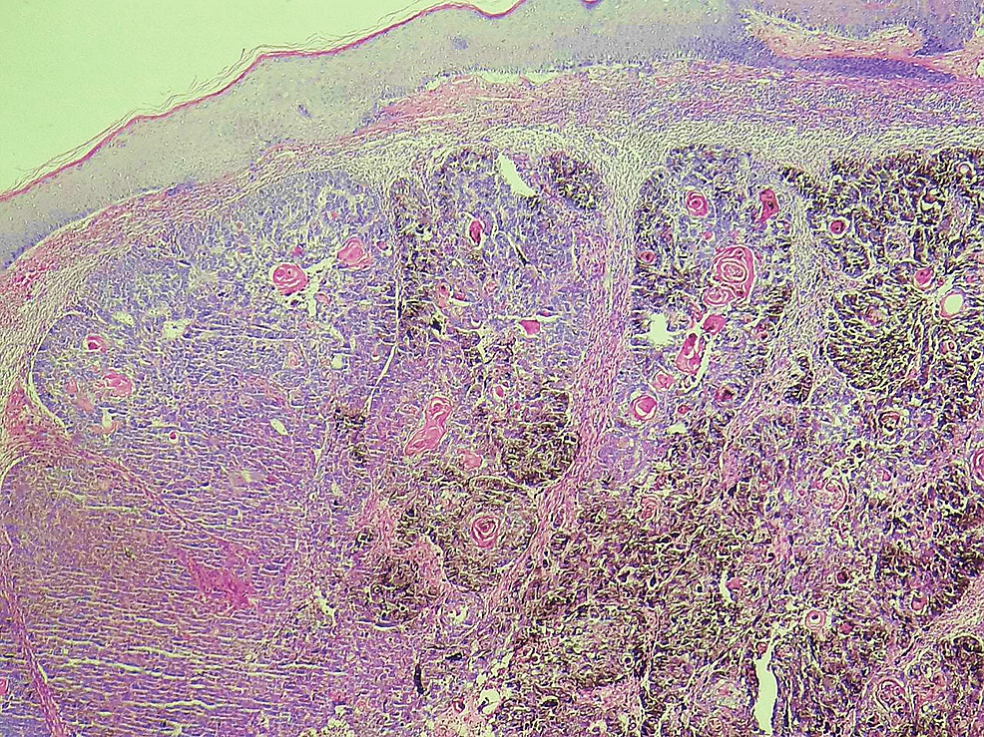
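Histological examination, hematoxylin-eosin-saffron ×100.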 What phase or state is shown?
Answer: Basaloid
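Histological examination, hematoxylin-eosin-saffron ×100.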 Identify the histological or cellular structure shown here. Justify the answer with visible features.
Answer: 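Arranged in lobules and sheets. Rounded tumor lobules are separated by thin pale-pink fibrous septa. Toward the bottom and left the tumor forms broad confluent sheets.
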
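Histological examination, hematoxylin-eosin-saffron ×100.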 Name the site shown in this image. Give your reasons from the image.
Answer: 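The epidermis runs across the top of the panel. A band of pink dermal connective tissue separates the epidermis from the tumor lobules below.
Conclusion: without connection with the epidermis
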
